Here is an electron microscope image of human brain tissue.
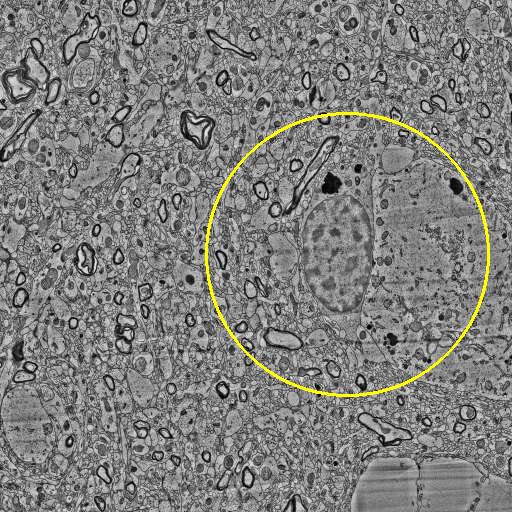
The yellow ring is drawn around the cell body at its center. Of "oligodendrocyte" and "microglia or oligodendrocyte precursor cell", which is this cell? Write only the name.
oligodendrocyte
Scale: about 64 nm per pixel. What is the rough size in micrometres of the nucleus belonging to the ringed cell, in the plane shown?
About 7 by 5 micrometres; in this plane the nucleus is clearly longer than it is wide.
